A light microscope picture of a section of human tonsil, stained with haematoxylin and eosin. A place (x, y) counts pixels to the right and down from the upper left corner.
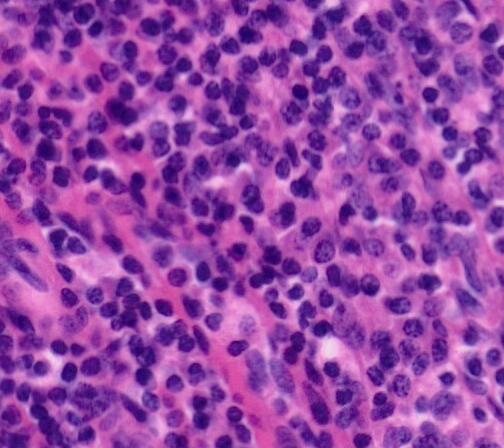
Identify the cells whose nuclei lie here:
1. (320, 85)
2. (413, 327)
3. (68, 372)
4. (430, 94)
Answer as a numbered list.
1. small lymphocyte
2. plasma cell
3. small lymphocyte
4. small lymphocyte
